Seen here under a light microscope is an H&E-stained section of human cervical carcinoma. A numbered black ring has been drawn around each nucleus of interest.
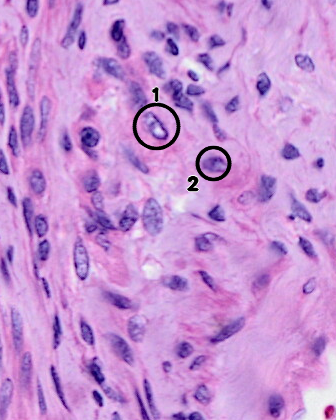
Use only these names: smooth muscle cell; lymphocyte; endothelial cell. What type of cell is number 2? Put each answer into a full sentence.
Nucleus 2 in this section belongs to a smooth muscle cell.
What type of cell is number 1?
The nucleus labeled 1 belongs to an endothelial cell.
